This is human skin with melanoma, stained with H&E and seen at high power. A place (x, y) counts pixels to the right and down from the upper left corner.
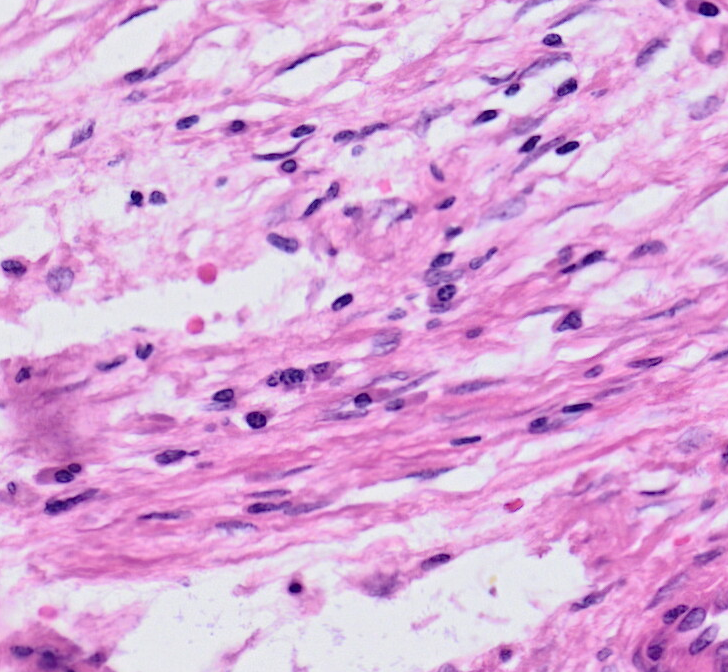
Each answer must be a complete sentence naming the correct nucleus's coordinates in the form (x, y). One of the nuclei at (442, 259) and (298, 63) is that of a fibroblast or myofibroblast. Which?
The pair contains one nucleus of a fibroblast or myofibroblast, namely the one at (298, 63).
